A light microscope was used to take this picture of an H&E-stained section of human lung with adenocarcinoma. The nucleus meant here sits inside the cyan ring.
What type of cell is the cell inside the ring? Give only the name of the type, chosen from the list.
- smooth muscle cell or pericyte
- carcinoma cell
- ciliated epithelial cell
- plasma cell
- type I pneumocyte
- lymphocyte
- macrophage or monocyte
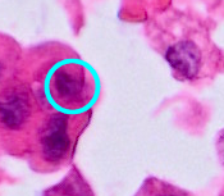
carcinoma cell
